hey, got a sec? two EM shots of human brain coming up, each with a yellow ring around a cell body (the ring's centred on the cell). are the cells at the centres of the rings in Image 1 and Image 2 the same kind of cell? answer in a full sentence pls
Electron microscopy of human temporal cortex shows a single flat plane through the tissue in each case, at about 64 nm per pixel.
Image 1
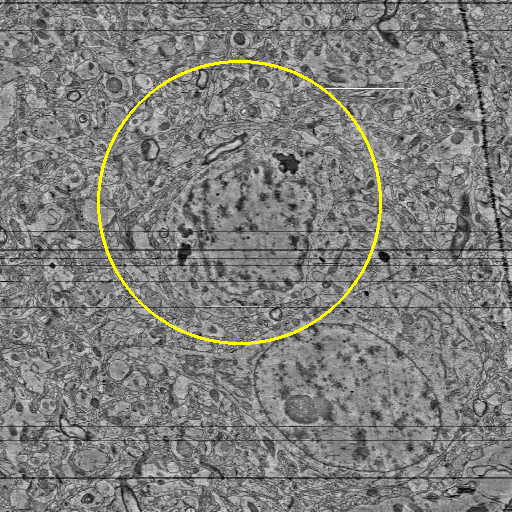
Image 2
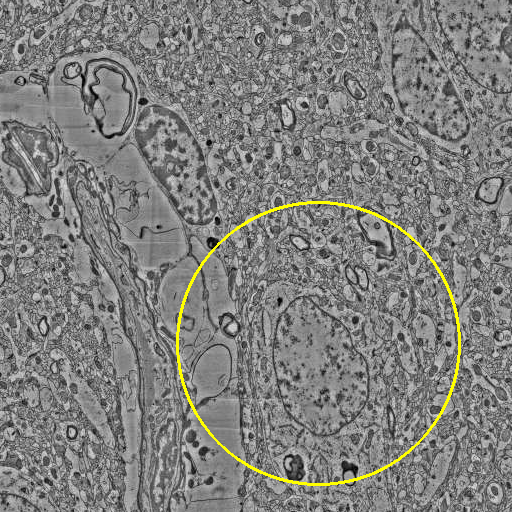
No, they are two kinds of cell.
